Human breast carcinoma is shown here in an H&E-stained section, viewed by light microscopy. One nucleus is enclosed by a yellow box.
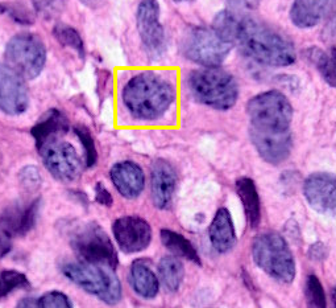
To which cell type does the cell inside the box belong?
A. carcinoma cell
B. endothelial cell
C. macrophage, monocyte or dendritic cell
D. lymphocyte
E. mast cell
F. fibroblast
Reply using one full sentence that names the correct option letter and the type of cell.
Exactly as option A gives it, the cell inside the box is a carcinoma cell.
